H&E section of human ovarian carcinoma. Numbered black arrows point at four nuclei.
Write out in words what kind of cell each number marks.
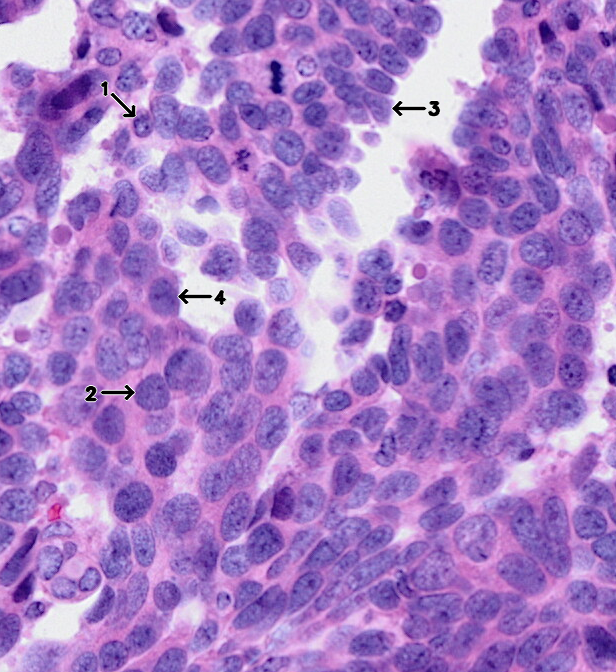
Cell 1 is a macrophage or monocyte, cell 2 is a carcinoma cell, cell 3 is a carcinoma cell and cell 4 is a carcinoma cell.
